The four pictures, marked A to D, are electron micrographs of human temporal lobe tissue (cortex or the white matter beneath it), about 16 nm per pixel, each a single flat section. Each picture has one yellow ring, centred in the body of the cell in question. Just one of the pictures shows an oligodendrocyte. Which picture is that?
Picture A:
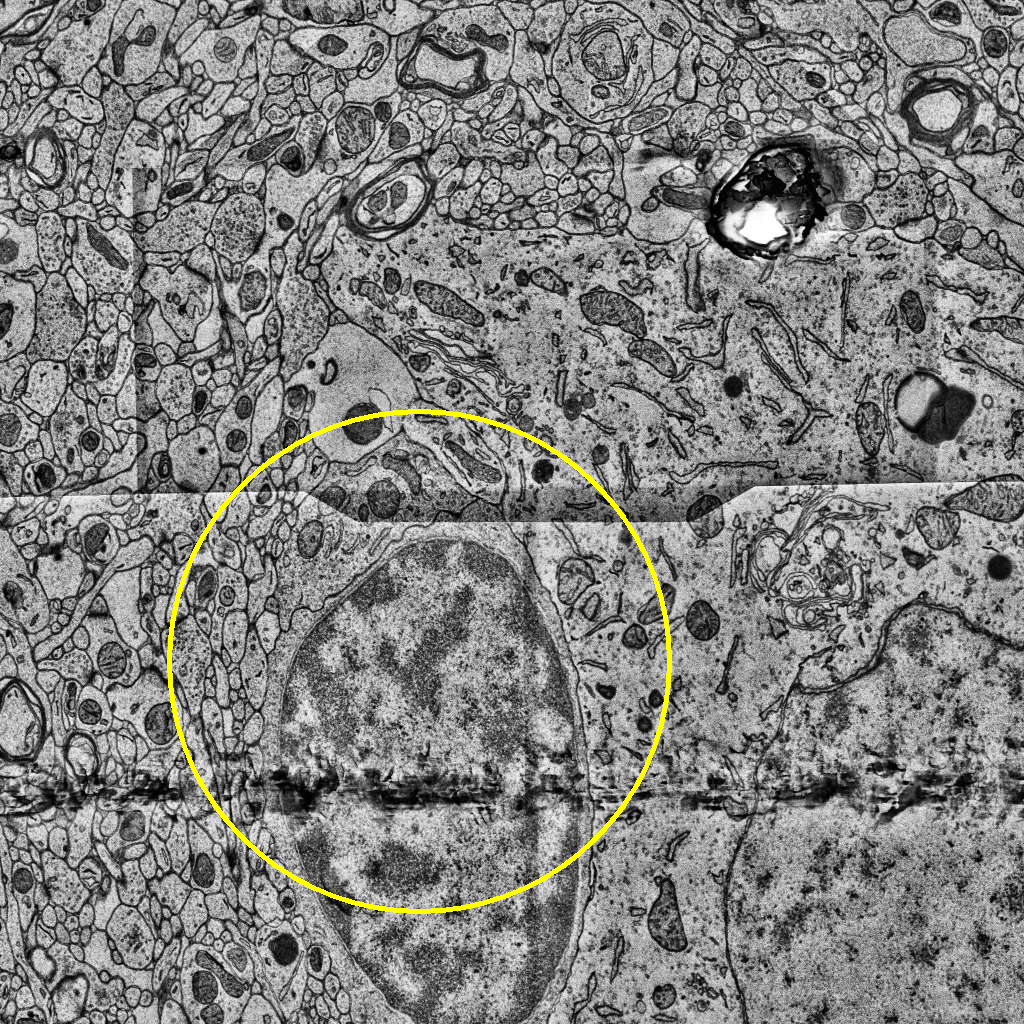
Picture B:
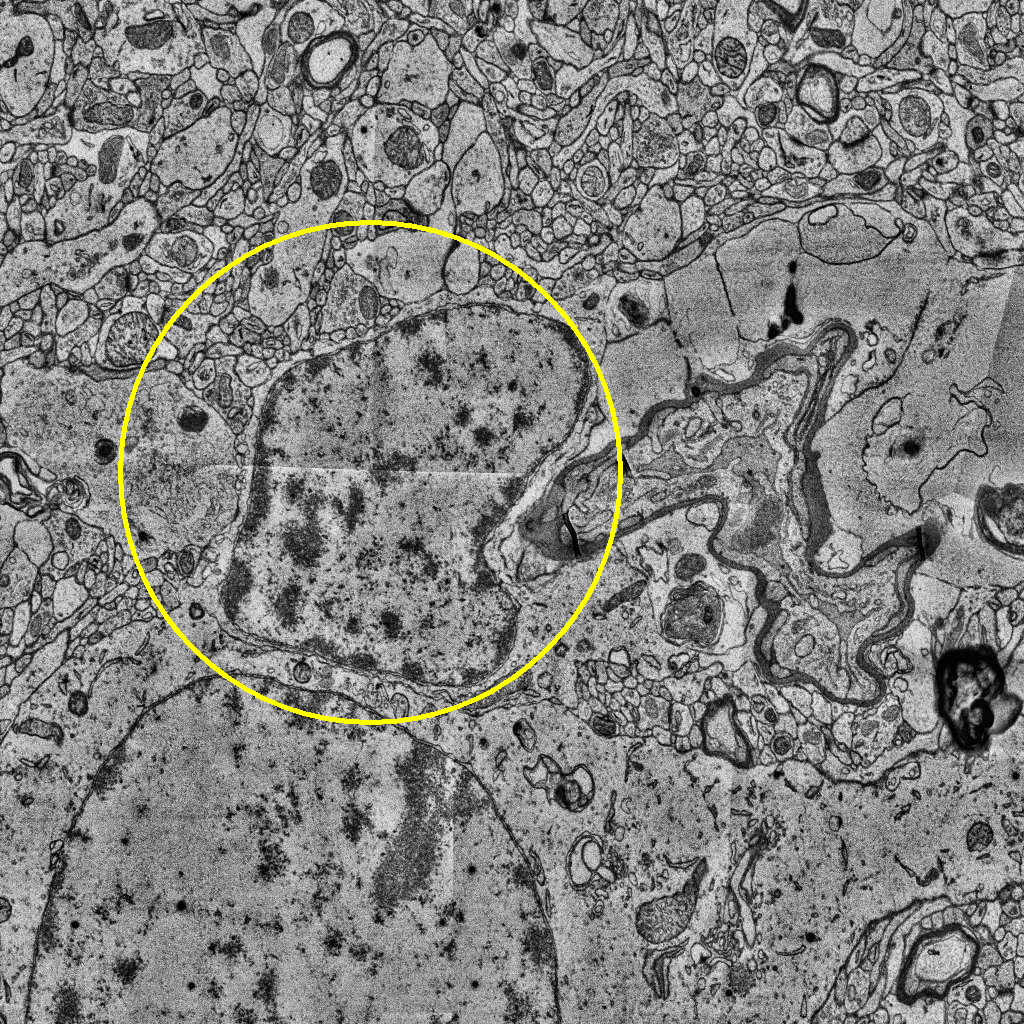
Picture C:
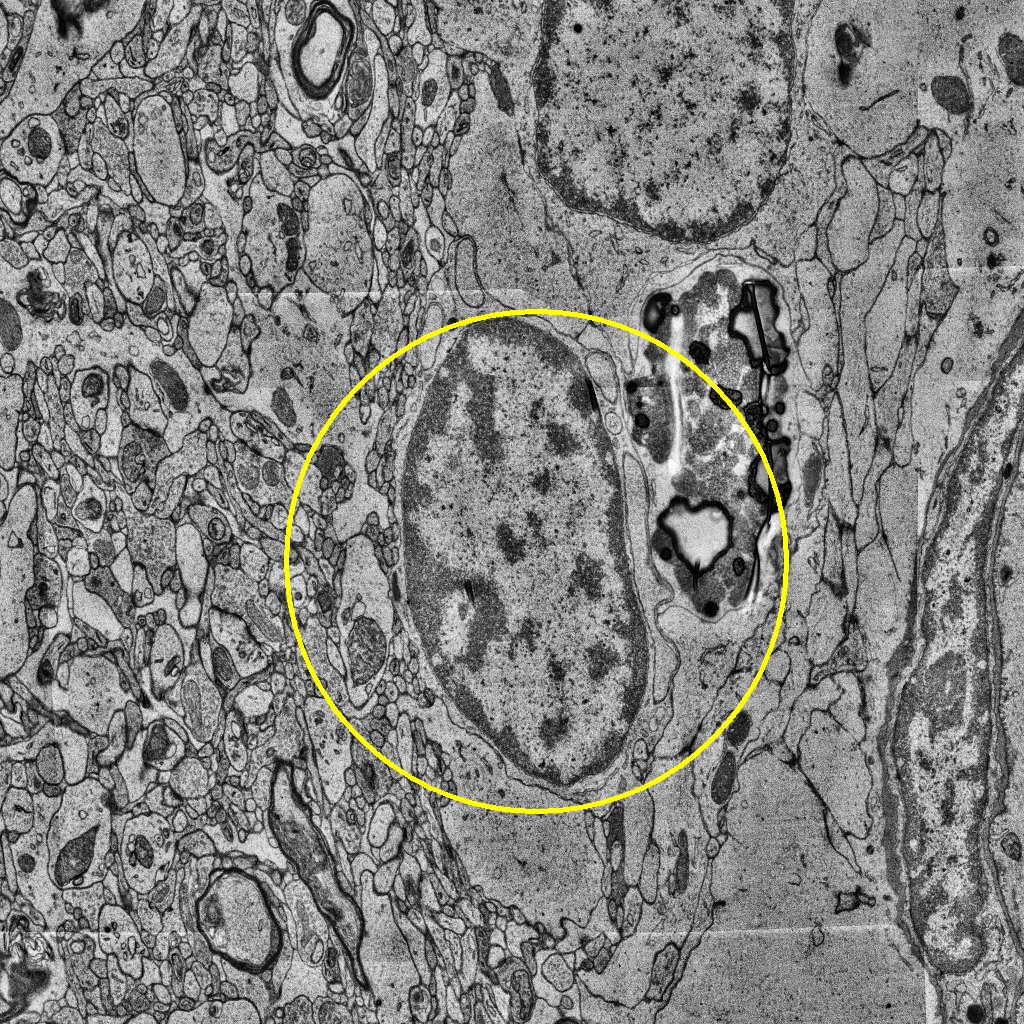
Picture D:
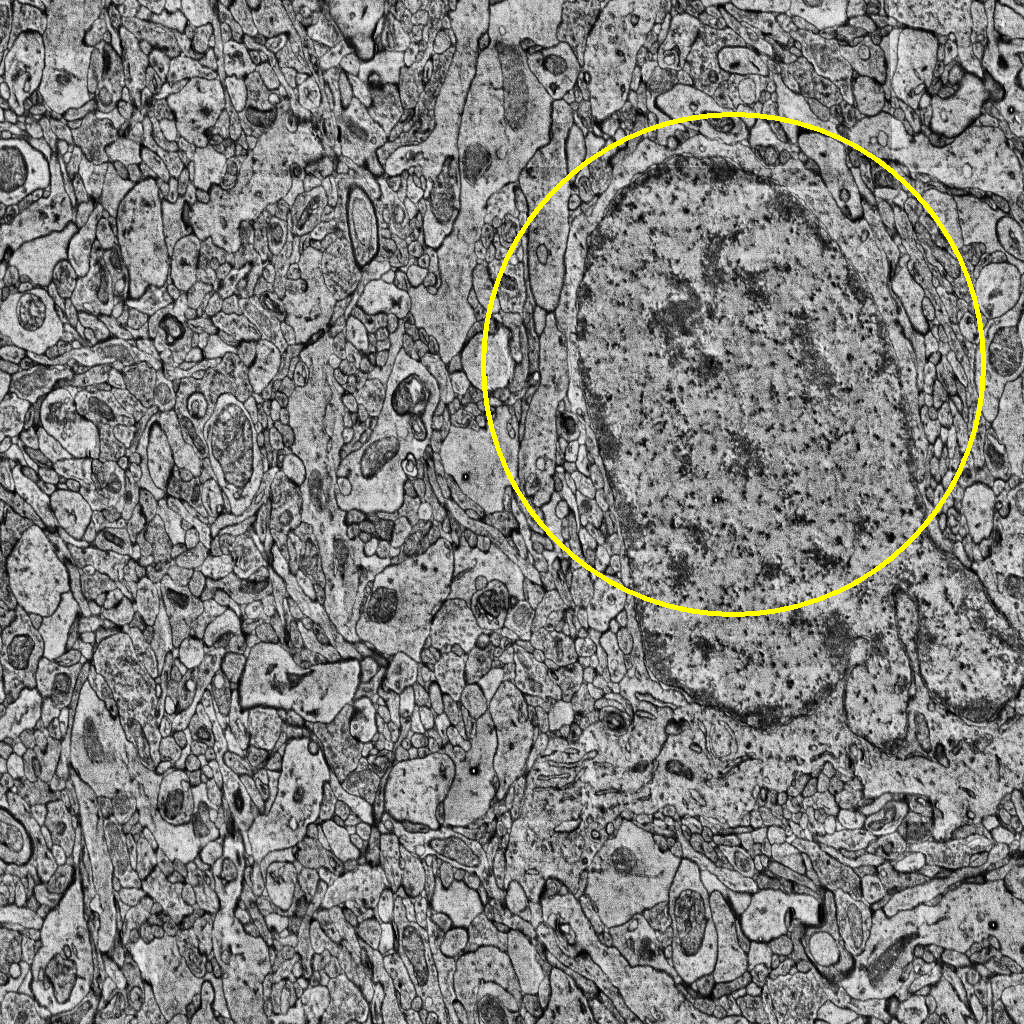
Picture A shows the oligodendrocyte.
